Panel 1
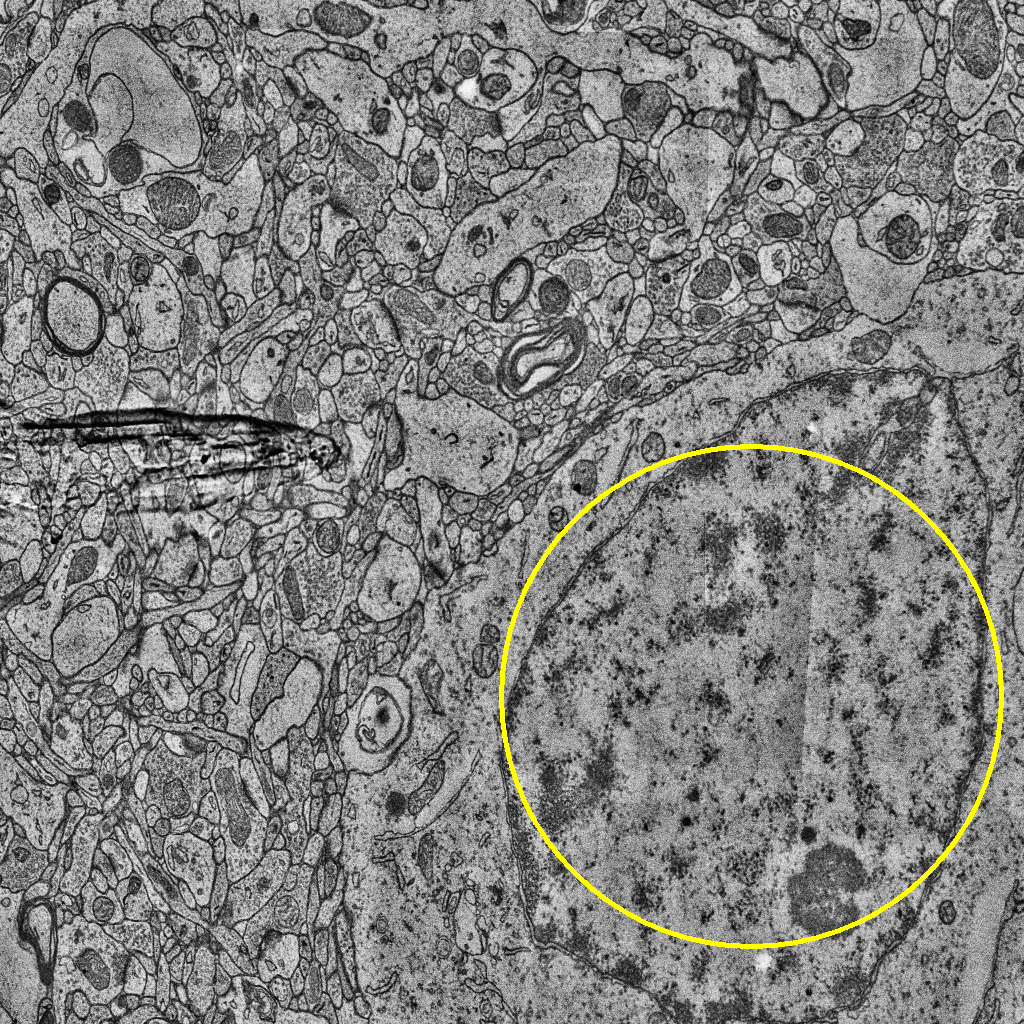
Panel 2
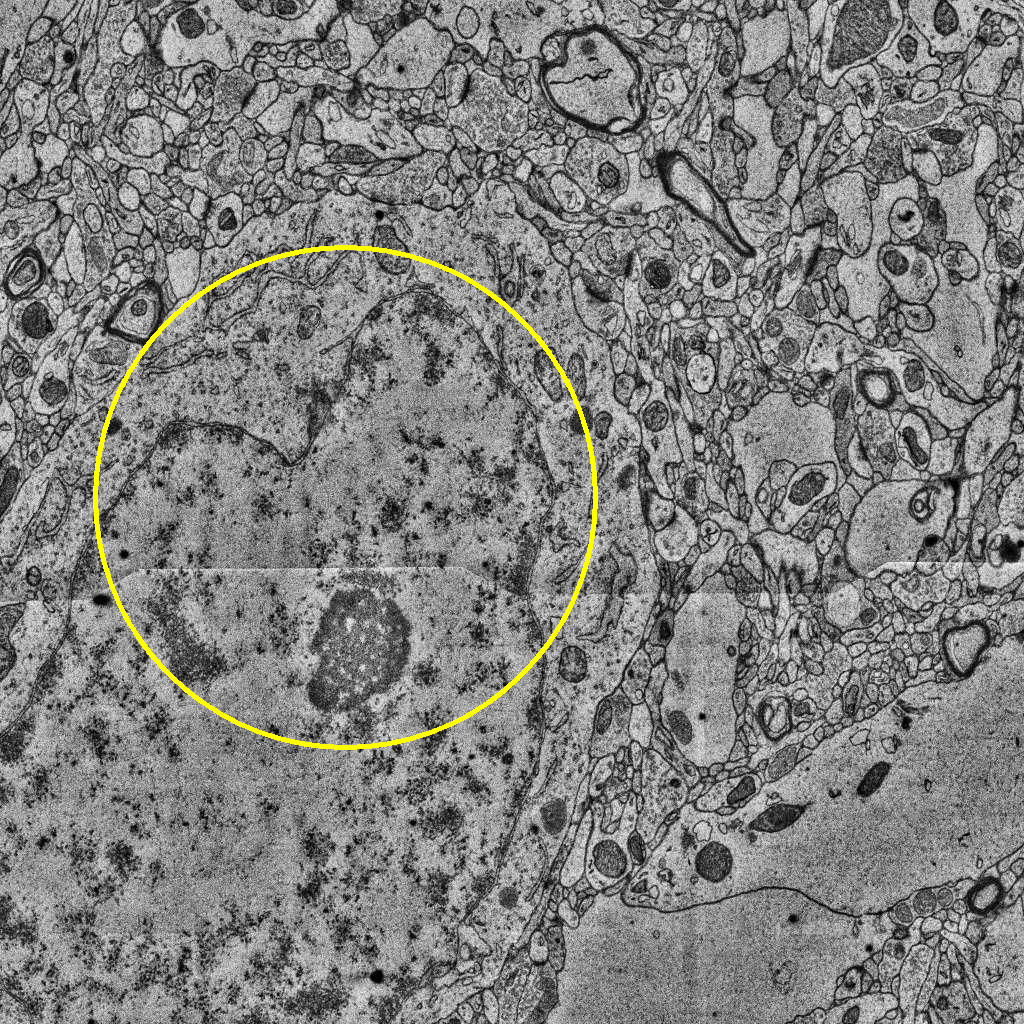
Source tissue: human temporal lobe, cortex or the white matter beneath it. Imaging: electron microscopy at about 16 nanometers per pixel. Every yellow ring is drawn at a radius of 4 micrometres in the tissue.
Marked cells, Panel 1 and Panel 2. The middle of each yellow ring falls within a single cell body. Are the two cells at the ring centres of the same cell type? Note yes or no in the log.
yes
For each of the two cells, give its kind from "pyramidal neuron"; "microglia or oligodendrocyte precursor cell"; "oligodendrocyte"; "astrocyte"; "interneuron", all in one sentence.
Each of the two cells is an interneuron.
